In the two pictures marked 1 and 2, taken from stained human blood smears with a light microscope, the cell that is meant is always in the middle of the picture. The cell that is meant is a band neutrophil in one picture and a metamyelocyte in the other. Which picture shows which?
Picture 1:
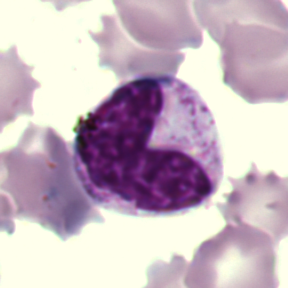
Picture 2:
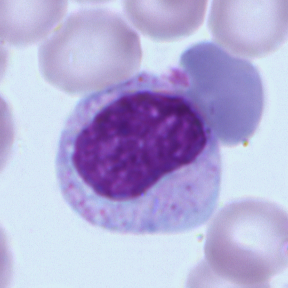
1: band neutrophil
2: metamyelocyte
